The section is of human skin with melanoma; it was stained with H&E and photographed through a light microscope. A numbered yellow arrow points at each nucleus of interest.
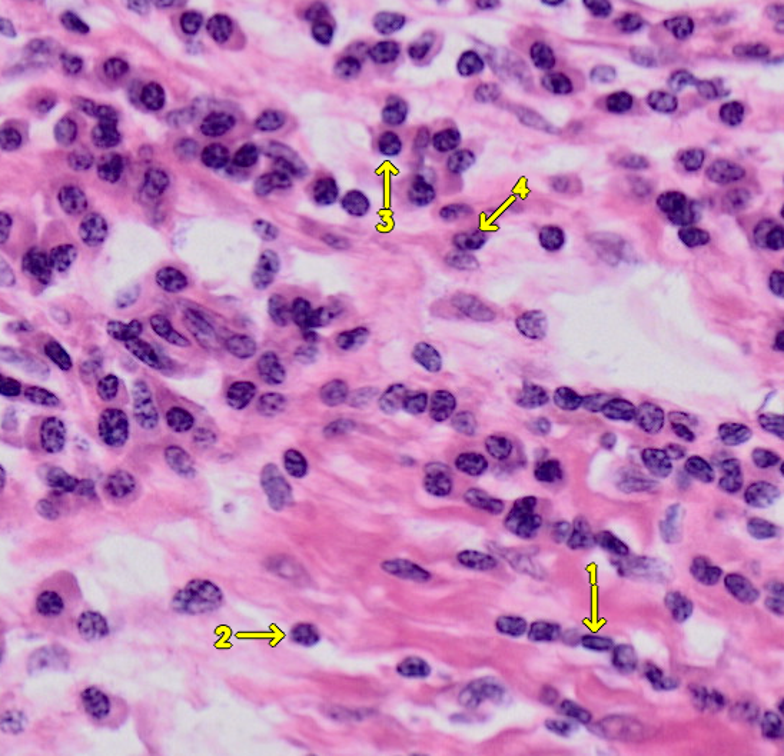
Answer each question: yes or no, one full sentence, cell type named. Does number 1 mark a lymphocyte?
Yes, cell 1 is a lymphocyte in this tissue section.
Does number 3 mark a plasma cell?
Yes, the cell with the number 3 is a plasma cell.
